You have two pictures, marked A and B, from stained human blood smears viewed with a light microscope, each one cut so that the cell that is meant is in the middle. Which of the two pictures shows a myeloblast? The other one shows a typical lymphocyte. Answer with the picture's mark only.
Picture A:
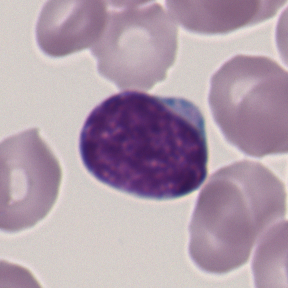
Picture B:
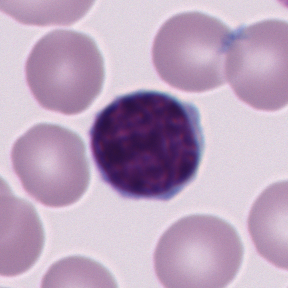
A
